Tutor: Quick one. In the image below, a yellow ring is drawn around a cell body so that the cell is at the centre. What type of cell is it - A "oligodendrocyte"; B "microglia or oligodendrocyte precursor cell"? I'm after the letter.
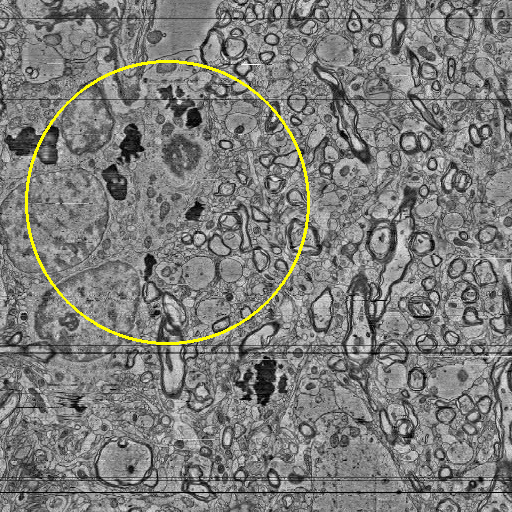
A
